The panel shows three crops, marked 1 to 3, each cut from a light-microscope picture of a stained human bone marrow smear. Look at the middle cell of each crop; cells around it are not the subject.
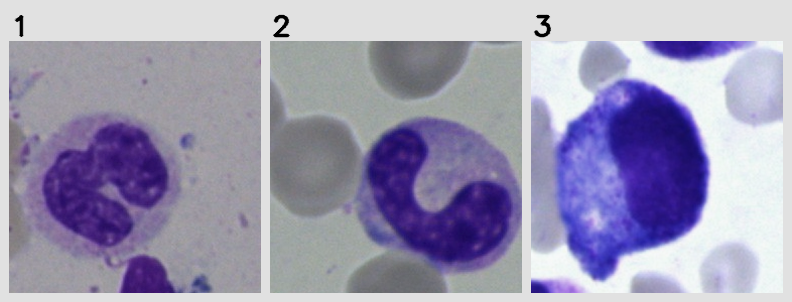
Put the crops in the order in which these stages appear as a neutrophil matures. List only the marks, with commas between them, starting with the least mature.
3, 2, 1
